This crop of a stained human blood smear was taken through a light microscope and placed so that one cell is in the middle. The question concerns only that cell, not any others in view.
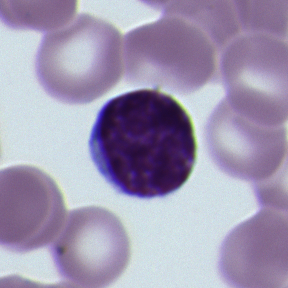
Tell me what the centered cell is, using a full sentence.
The cell found in the middle of this crop is a typical lymphocyte.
